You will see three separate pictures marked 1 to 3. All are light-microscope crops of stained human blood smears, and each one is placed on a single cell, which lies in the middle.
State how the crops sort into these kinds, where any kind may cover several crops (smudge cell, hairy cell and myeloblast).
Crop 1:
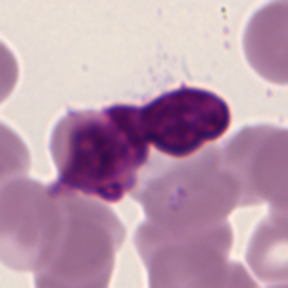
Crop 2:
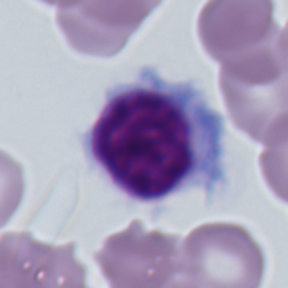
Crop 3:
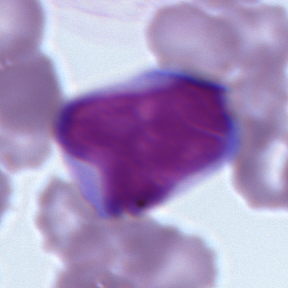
1: smudge cell
2: hairy cell
3: myeloblast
